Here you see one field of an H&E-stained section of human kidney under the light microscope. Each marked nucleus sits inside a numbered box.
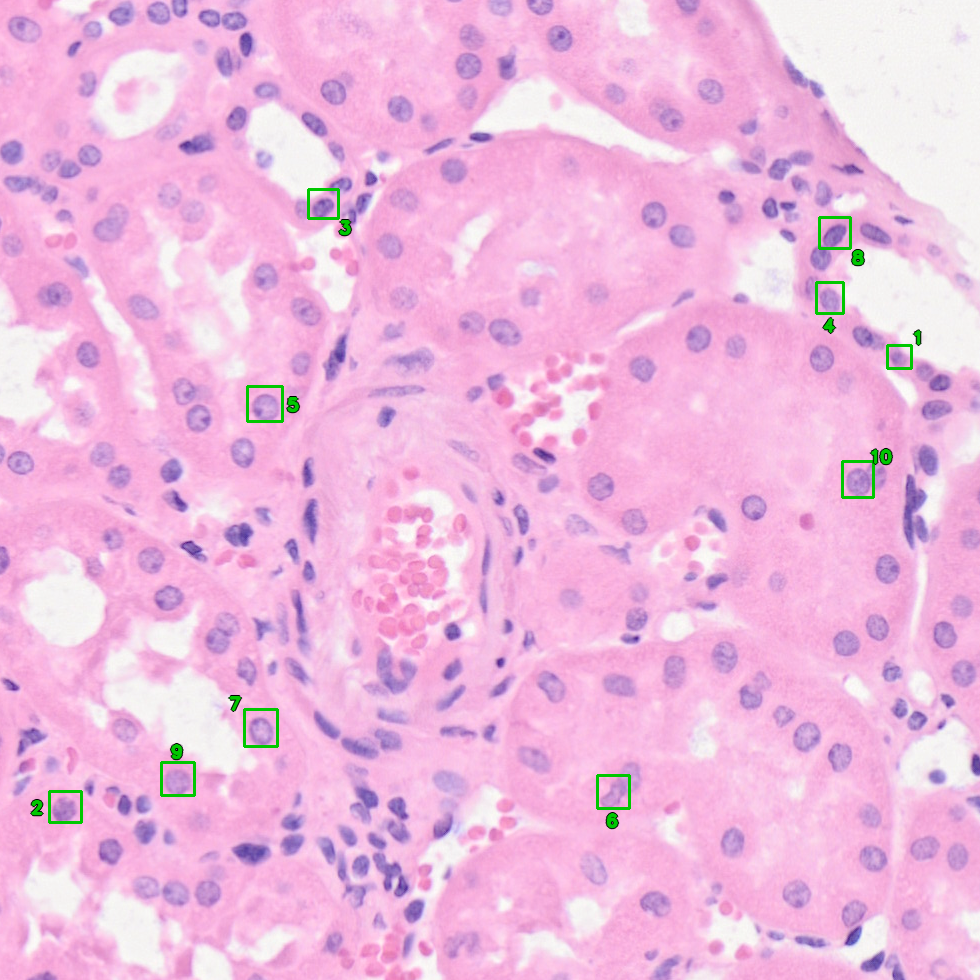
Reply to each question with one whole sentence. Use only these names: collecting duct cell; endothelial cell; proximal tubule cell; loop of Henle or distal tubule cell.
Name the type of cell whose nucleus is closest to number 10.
It is a proximal tubule cell whose nucleus is nearest to number 10.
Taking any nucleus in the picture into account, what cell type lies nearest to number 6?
The nearest nucleus to number 6 belongs to a proximal tubule cell.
